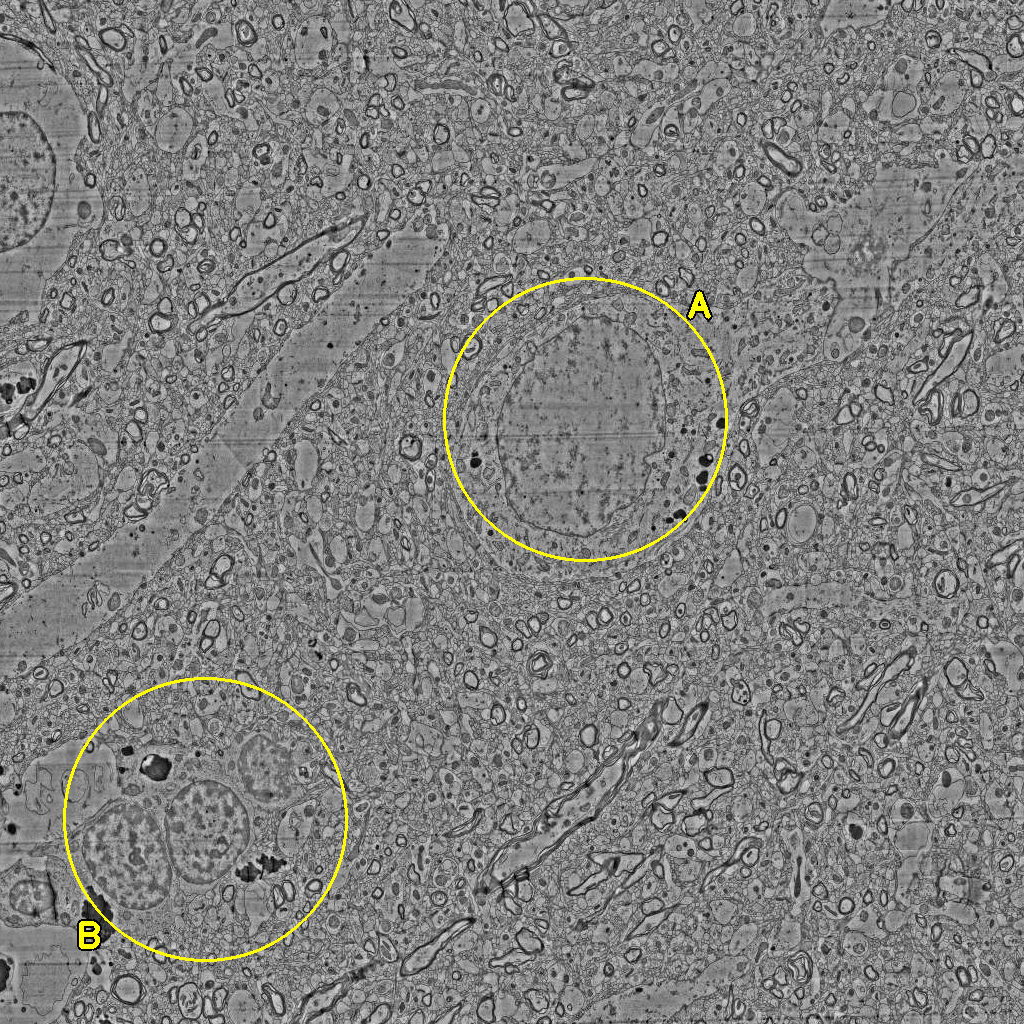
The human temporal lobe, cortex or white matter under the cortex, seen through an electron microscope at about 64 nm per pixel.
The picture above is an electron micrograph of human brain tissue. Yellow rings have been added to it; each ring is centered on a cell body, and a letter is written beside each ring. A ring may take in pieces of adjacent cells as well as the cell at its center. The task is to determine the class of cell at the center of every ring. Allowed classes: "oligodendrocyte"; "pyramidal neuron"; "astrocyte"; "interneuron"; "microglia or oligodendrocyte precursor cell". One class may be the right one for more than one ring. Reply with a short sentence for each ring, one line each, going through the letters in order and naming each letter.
Ring A is centered on a pyramidal neuron.
Ring B is centered on an oligodendrocyte.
